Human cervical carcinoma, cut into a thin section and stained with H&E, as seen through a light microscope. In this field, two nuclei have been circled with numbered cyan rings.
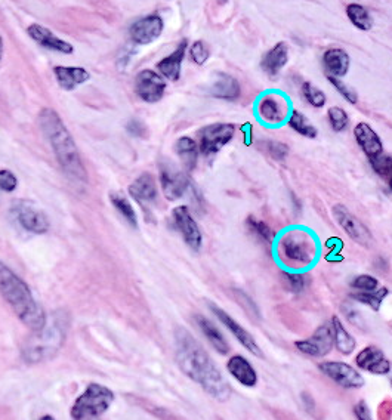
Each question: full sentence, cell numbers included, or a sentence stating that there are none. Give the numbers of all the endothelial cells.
Of the cells marked with numbers, cell 2 is the only one that is an endothelial cell.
